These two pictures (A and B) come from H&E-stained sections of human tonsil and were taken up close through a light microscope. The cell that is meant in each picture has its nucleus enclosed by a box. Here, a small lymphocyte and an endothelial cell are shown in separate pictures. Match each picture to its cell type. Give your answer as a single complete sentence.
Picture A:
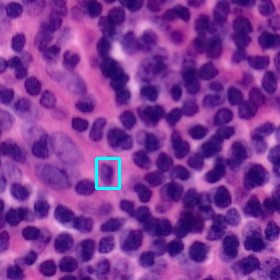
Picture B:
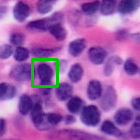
Picture A is of an endothelial cell, and picture B is of a small lymphocyte.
